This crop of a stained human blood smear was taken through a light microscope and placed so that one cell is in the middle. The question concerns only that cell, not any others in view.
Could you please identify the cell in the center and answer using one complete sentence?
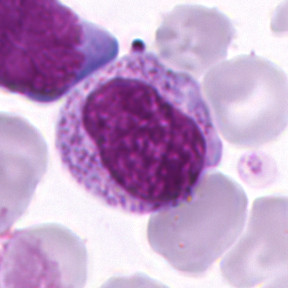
The cell found in the middle of this crop is a metamyelocyte.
